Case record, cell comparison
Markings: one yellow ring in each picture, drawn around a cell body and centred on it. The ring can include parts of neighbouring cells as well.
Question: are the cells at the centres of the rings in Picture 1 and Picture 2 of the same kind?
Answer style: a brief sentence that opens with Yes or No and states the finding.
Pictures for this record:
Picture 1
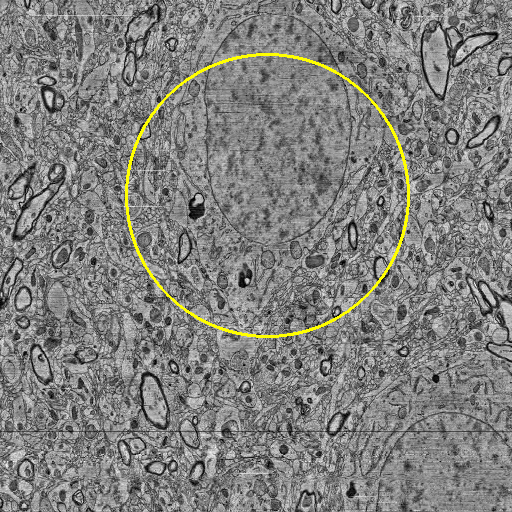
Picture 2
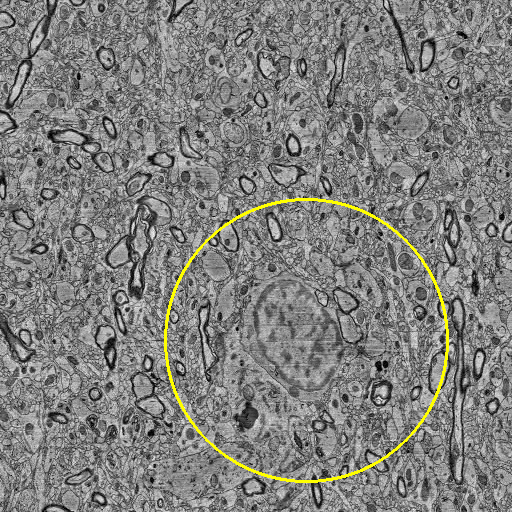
No, the cells in Picture 1 and Picture 2 are of two kinds.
